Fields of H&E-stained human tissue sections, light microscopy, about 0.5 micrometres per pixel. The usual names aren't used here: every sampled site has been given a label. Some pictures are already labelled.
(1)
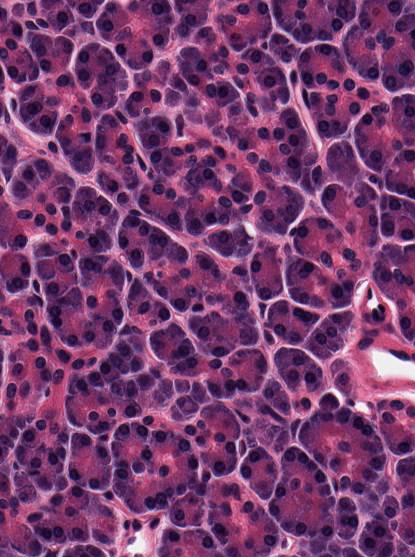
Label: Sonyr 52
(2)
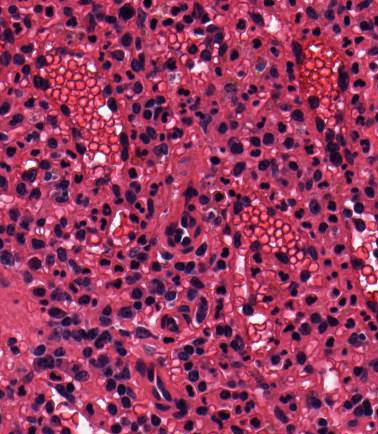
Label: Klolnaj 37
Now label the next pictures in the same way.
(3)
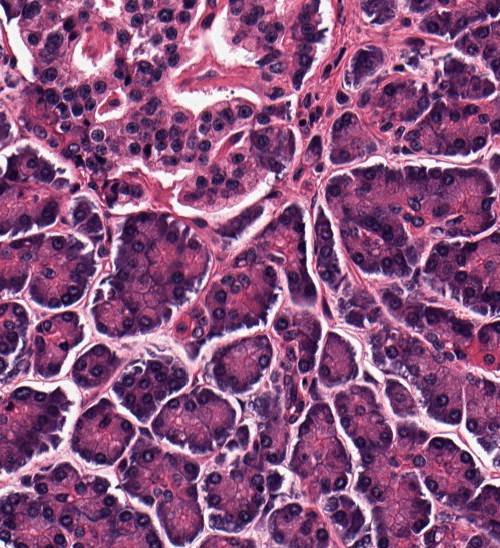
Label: Sonyr 52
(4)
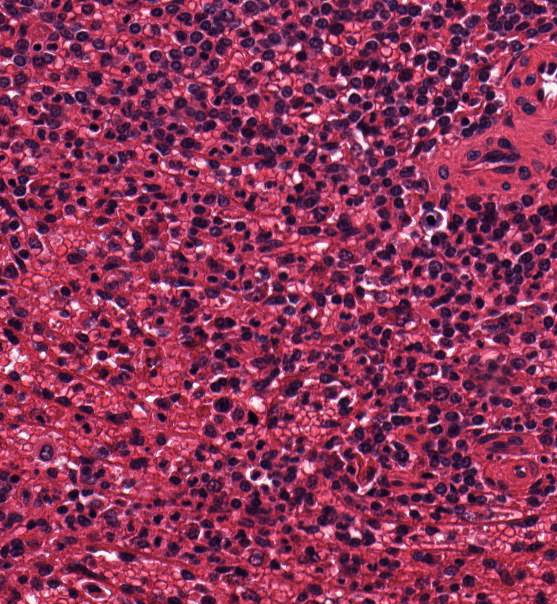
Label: Klolnaj 37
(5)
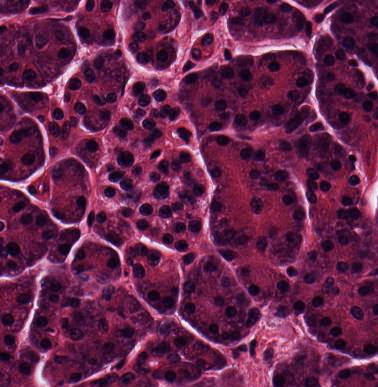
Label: Sonyr 52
